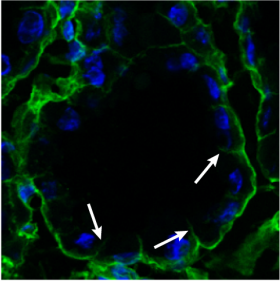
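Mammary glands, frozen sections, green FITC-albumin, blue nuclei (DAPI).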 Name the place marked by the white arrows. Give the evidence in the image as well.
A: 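The arrows point to green lines lying between neighbouring blue nuclei in the epithelial ring. The epithelial cells form a single layer around a dark lumen. That points to this answer: interfacing regions of alveolar epithelial cells.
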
